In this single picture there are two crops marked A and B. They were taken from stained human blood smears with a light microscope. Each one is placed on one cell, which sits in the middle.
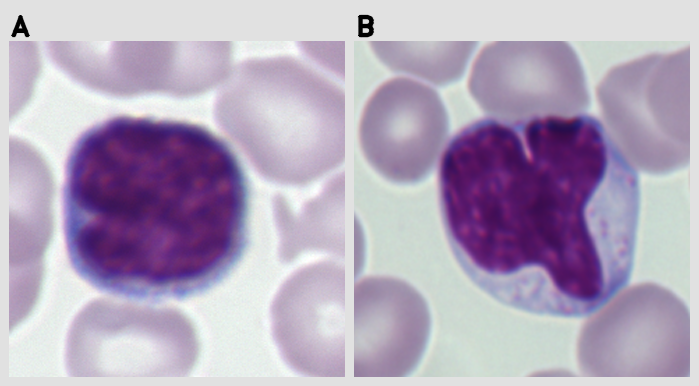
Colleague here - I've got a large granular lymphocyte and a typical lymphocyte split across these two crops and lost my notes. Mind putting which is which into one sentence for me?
So, crop A is a typical lymphocyte, and crop B is a large granular lymphocyte.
